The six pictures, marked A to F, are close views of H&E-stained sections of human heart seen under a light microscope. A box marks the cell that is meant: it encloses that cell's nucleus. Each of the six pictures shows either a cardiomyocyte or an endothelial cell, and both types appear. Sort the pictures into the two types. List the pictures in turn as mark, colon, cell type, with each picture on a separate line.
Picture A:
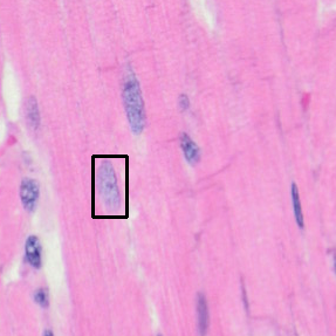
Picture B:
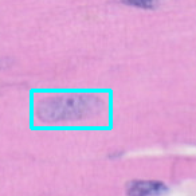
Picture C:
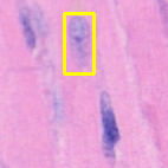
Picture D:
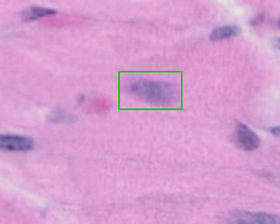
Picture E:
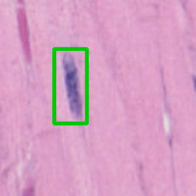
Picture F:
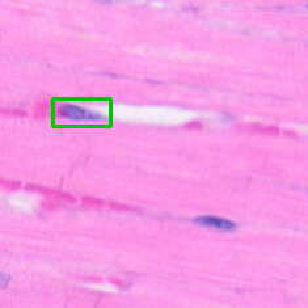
A: cardiomyocyte
B: cardiomyocyte
C: cardiomyocyte
D: cardiomyocyte
E: endothelial cell
F: endothelial cell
